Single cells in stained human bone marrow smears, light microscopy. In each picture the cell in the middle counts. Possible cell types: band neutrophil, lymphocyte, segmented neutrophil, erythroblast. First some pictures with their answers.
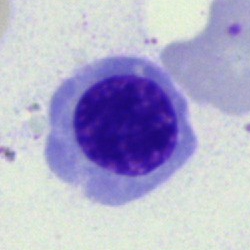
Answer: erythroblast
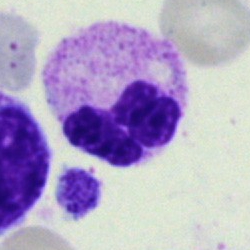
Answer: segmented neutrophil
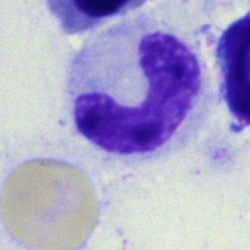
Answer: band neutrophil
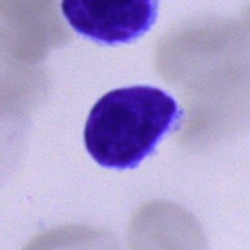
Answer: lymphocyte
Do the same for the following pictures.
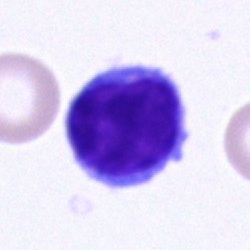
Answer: lymphocyte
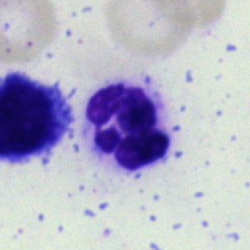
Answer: segmented neutrophil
